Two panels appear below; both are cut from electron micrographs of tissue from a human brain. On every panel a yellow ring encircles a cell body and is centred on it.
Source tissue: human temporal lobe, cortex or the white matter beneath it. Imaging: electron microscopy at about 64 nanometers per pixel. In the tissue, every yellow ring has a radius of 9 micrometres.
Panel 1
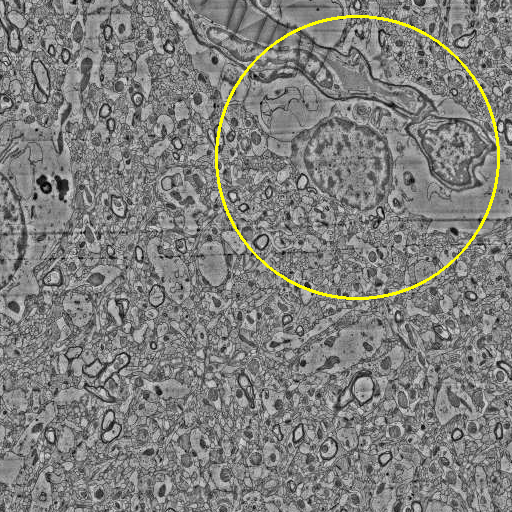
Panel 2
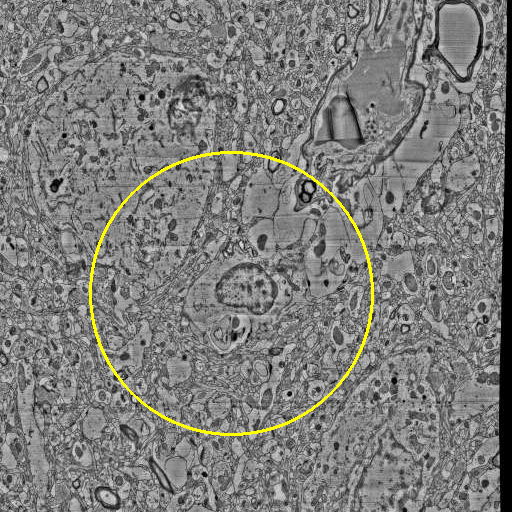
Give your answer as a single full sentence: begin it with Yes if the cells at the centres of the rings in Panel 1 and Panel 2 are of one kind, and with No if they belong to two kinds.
No, the cells in the middle of the rings in Panels 1 and 2 are of two kinds.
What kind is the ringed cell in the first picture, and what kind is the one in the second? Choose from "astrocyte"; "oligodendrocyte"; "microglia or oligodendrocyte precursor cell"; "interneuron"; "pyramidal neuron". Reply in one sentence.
The first cell is an oligodendrocyte; the second is a microglial cell or oligodendrocyte precursor cell.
